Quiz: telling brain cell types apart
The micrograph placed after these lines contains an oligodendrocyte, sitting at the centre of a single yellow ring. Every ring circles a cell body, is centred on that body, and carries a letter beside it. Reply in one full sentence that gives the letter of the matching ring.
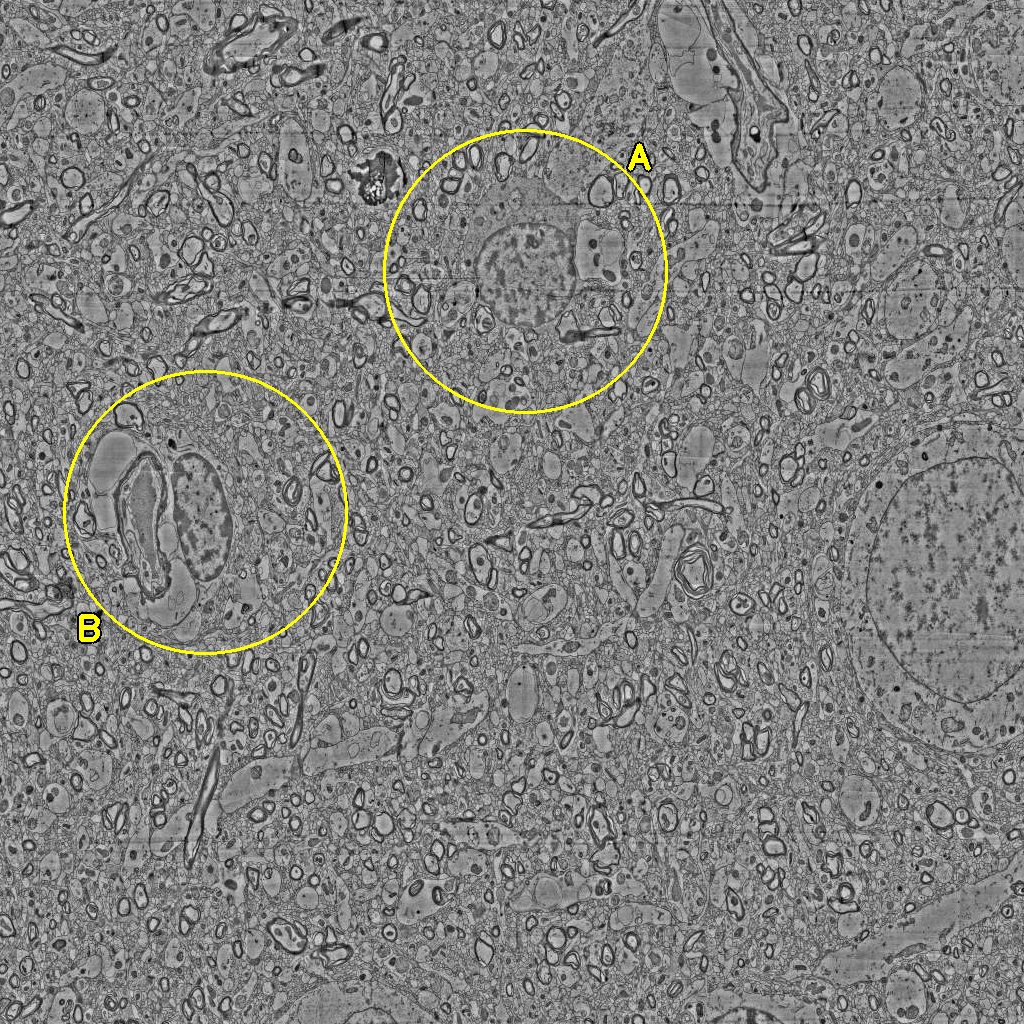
The cell asked for lies at the centre of ring A in the picture.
